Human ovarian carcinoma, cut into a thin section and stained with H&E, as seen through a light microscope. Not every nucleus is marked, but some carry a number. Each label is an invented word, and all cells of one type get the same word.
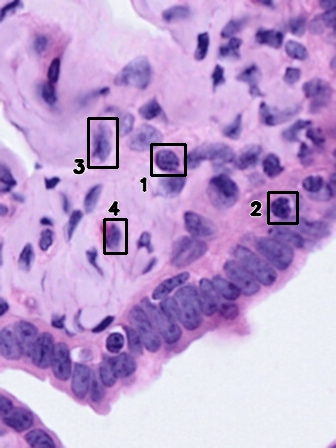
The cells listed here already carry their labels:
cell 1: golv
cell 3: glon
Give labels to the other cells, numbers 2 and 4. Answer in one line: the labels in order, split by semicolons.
golv; glon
